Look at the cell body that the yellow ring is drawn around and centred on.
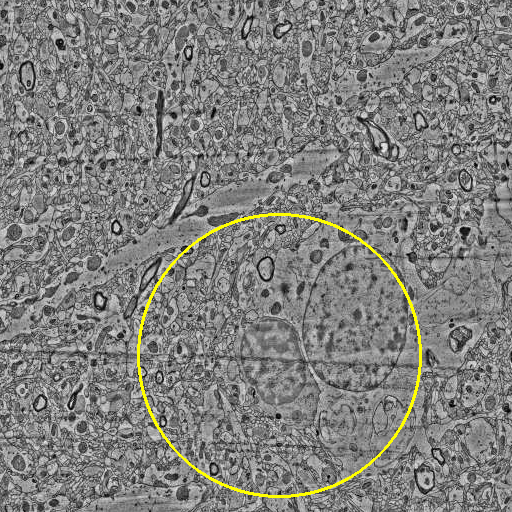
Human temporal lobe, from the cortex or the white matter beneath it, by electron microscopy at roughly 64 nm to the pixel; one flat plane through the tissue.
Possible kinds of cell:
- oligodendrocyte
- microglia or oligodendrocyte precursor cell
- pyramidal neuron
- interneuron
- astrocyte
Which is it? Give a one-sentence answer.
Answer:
The centred cell body is that of an oligodendrocyte.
